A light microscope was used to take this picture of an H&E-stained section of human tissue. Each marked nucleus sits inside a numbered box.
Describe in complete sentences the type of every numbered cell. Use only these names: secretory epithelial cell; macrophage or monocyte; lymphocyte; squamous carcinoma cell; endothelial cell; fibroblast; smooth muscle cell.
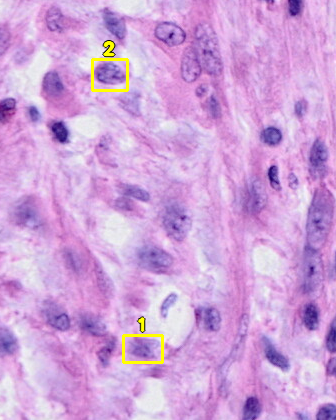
Cell 1 is a fibroblast and cell 2 is a macrophage or monocyte.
